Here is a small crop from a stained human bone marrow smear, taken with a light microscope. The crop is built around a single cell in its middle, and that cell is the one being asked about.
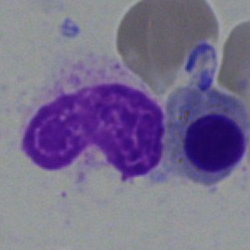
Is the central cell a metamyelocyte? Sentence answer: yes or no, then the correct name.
Yes, this is a metamyelocyte, the cell in the middle of the crop.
